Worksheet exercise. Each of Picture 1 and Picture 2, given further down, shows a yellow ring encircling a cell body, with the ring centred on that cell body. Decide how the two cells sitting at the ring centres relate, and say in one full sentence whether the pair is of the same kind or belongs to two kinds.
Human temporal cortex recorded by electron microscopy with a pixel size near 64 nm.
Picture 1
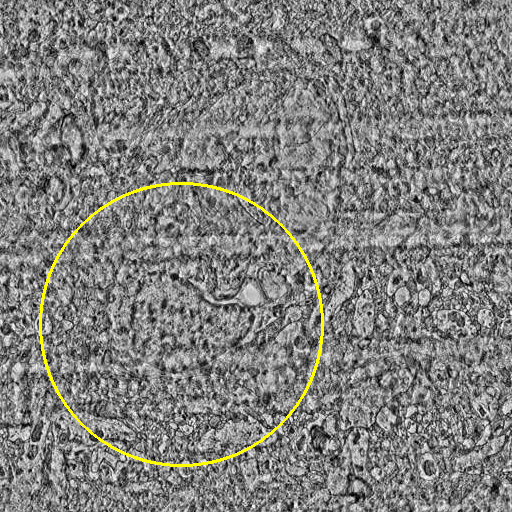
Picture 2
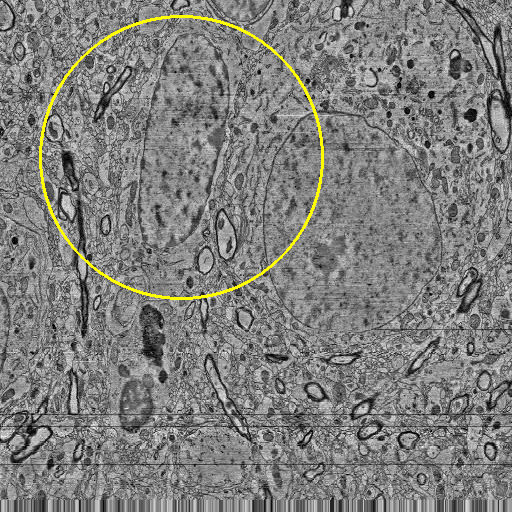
The cells at the ring centres in Picture 1 and Picture 2 are of the same kind.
